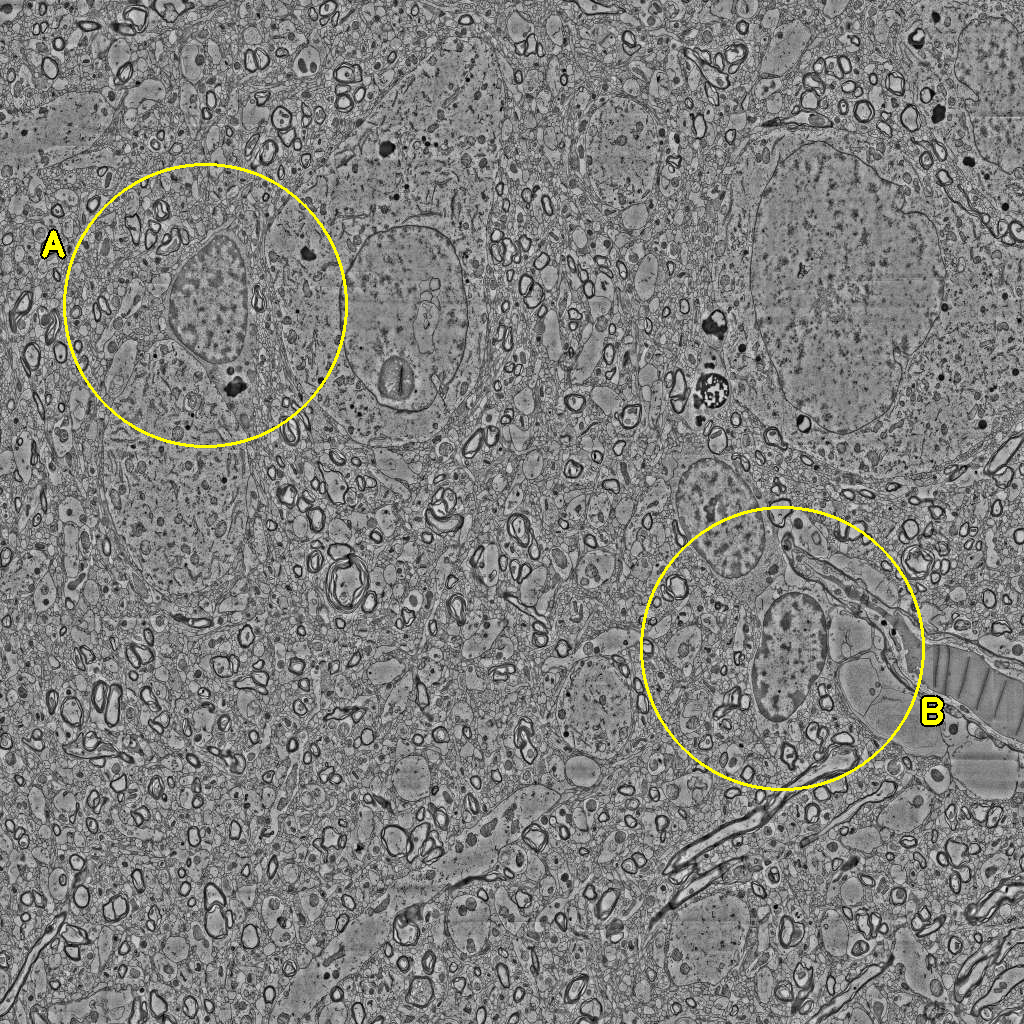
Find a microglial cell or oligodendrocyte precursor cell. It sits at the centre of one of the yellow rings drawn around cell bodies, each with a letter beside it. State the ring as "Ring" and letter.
Ring B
